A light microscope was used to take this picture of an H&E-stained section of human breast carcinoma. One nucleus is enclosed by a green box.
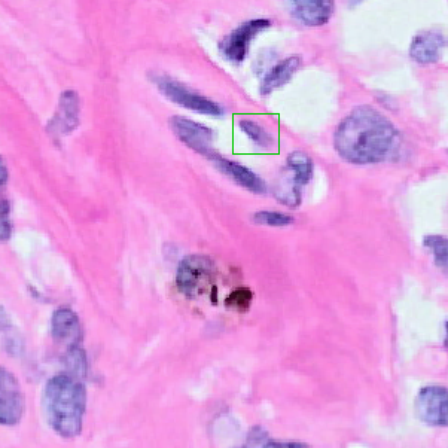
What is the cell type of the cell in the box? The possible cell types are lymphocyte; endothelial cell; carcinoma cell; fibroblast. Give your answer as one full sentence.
Recorded by type, the cell in the box is an endothelial cell.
